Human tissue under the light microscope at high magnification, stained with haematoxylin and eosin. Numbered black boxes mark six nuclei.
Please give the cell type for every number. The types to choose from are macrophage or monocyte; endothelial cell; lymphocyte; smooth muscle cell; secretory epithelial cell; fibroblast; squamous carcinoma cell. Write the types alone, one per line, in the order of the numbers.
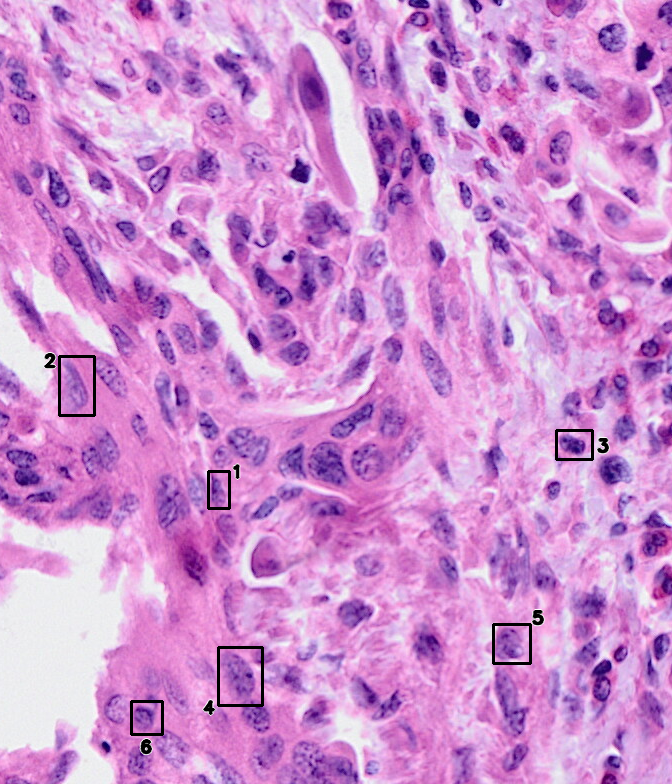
squamous carcinoma cell
squamous carcinoma cell
lymphocyte
squamous carcinoma cell
macrophage or monocyte
squamous carcinoma cell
